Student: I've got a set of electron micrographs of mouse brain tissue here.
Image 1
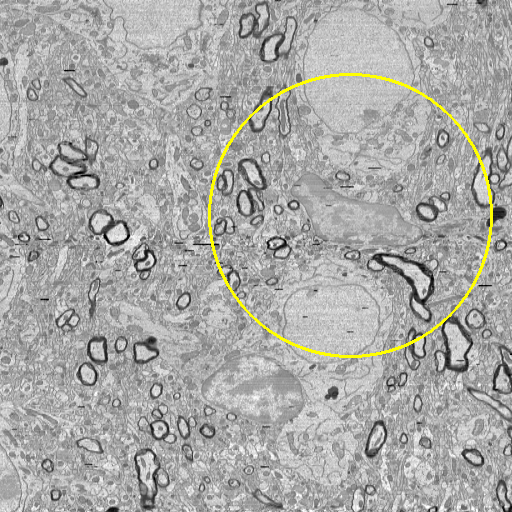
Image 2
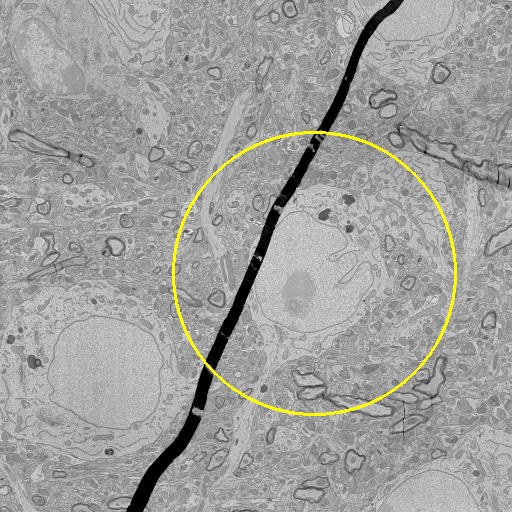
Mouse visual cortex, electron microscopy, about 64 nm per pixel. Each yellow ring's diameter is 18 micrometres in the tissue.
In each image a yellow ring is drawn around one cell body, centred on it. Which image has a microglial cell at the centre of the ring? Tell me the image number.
1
